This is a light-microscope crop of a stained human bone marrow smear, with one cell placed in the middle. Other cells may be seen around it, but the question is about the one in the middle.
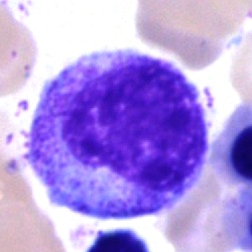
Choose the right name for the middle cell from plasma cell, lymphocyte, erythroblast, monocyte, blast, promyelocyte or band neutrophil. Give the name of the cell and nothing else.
promyelocyte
